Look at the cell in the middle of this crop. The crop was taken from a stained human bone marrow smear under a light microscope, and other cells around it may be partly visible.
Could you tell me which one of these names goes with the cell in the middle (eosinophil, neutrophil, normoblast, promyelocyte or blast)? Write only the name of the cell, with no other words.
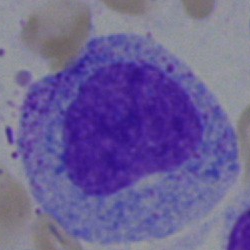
promyelocyte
